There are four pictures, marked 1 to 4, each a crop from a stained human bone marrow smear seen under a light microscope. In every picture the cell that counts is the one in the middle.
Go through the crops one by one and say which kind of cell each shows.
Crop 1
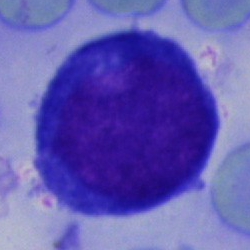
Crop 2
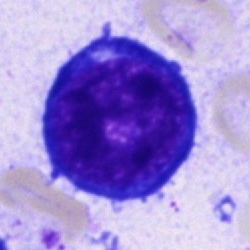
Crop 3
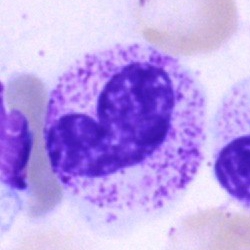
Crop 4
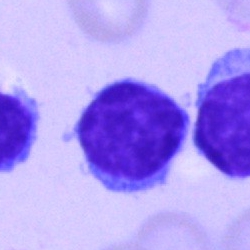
1: proerythroblast
2: proerythroblast
3: metamyelocyte
4: lymphocyte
